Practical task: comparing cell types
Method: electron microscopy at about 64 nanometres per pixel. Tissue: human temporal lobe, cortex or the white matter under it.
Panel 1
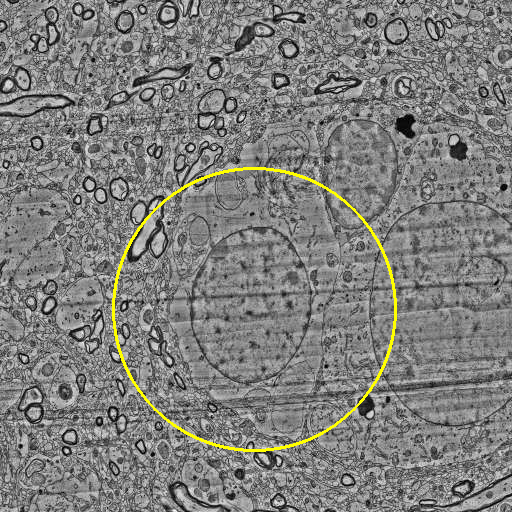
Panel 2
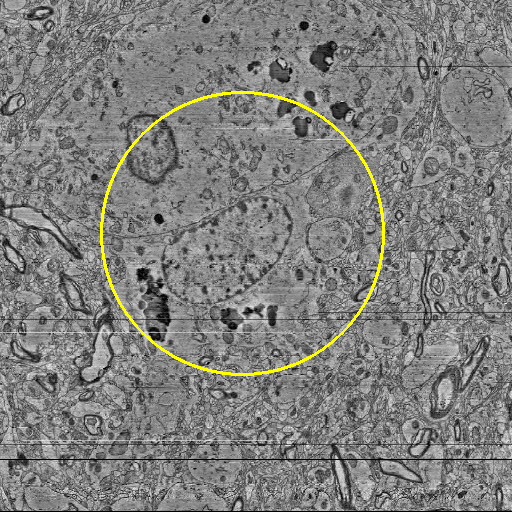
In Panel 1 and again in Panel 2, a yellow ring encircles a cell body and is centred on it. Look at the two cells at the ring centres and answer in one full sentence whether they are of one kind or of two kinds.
The two cells sitting at the ring centres of Panels 1 and 2 are of one kind.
